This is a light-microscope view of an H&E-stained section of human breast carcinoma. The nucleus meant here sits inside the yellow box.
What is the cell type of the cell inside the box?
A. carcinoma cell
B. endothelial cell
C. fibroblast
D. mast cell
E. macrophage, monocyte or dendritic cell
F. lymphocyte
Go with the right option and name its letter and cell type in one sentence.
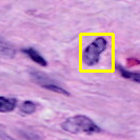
Option D gets it right, as the cell inside the box is a mast cell.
